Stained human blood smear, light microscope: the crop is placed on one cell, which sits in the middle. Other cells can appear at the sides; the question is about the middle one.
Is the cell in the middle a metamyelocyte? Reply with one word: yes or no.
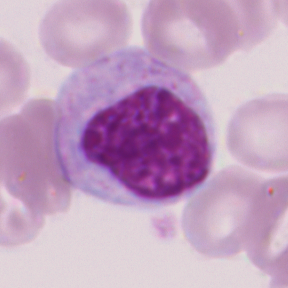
yes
